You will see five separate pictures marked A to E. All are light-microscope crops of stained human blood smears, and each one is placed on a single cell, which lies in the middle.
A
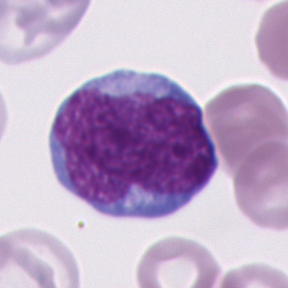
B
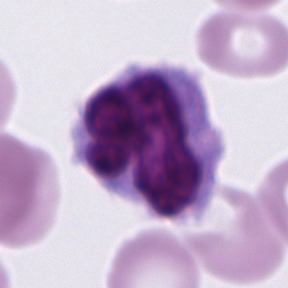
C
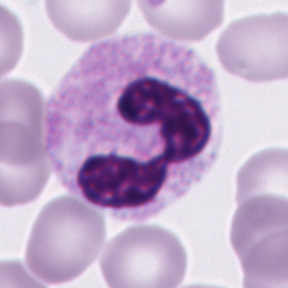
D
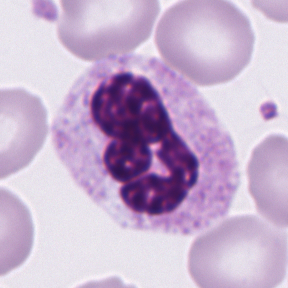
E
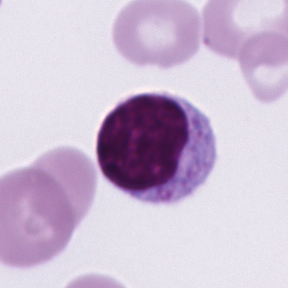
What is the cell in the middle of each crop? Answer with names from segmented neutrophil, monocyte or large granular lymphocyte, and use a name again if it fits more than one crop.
A: monocyte
B: monocyte
C: segmented neutrophil
D: segmented neutrophil
E: large granular lymphocyte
